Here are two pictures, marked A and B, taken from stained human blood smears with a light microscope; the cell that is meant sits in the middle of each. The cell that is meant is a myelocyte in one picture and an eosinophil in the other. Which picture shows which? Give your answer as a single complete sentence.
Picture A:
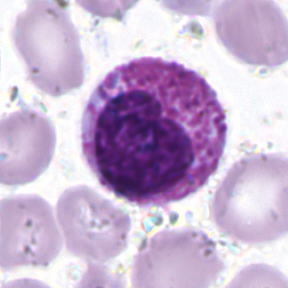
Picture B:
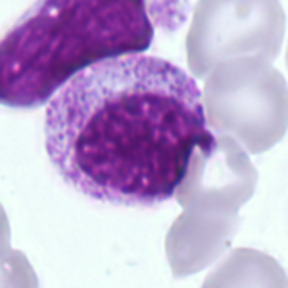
The cell in picture A is an eosinophil, and the one in picture B is a myelocyte.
